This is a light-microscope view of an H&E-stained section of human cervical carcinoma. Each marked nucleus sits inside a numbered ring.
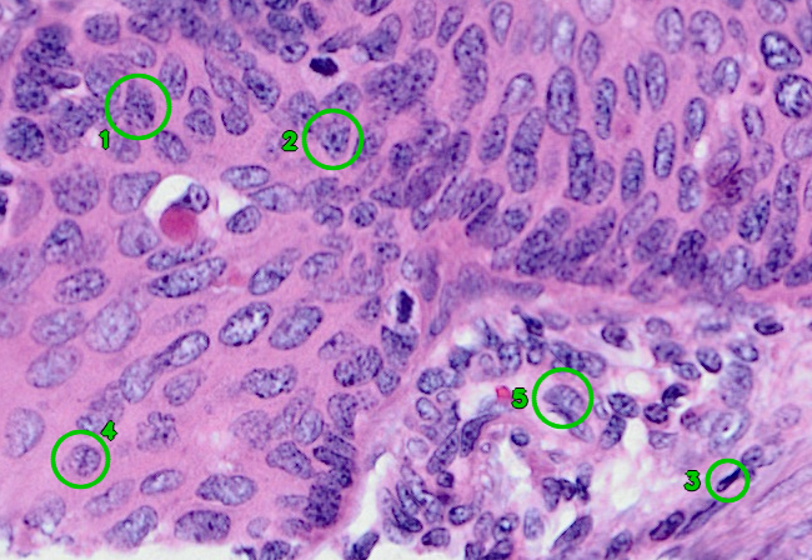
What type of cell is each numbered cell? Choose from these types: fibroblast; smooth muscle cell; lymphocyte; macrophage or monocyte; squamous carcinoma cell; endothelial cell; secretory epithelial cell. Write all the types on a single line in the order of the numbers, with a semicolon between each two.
squamous carcinoma cell; squamous carcinoma cell; lymphocyte; squamous carcinoma cell; endothelial cell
